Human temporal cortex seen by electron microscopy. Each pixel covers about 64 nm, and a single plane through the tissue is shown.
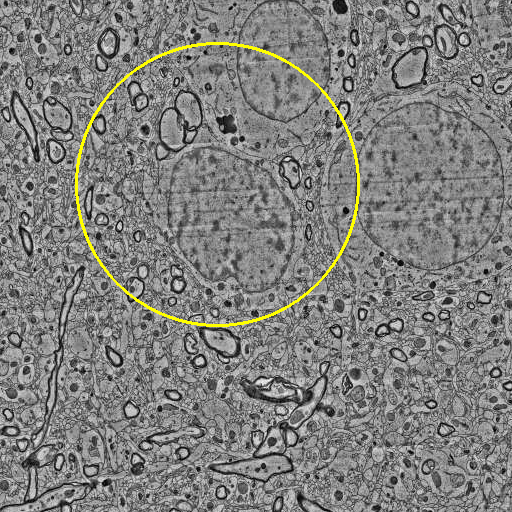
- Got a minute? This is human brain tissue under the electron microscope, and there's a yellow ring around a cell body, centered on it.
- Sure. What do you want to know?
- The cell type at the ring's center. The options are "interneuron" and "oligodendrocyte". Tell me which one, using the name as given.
interneuron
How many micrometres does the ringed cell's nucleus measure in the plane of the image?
About 10 by 8 micrometers for the nucleus, in this plane.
